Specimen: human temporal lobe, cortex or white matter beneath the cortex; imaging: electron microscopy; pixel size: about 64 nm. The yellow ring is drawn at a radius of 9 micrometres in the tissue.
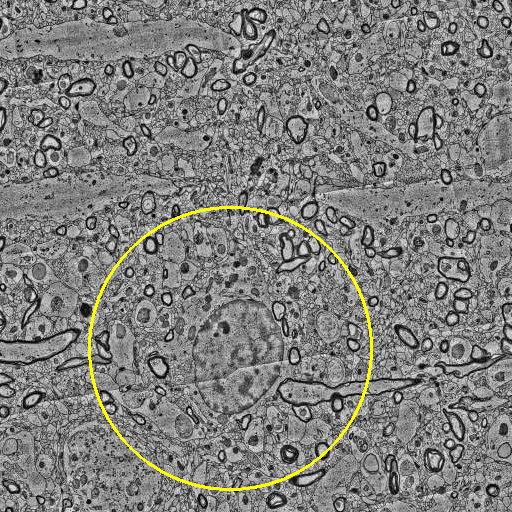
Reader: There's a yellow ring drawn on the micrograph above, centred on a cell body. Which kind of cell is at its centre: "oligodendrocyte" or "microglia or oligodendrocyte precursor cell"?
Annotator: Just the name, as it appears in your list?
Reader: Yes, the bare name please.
oligodendrocyte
